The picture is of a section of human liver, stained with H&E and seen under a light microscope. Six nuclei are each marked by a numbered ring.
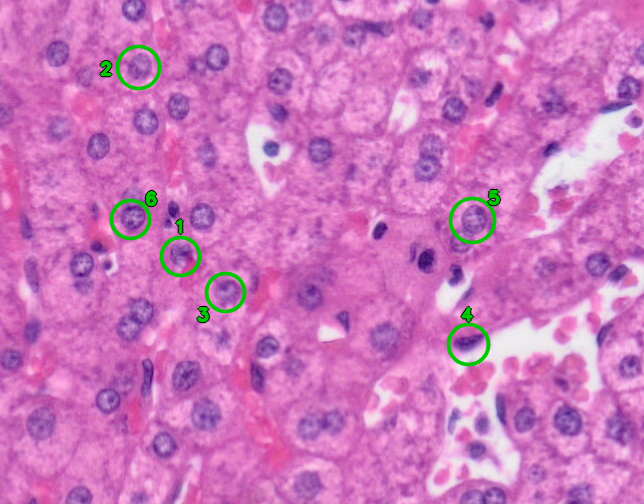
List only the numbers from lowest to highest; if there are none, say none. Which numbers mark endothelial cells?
1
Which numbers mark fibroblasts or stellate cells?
4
